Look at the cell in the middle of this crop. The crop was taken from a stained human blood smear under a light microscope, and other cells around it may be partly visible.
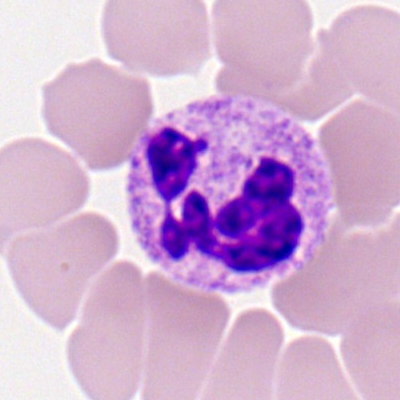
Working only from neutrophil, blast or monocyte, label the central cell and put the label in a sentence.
The center cell of this crop is a neutrophil.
